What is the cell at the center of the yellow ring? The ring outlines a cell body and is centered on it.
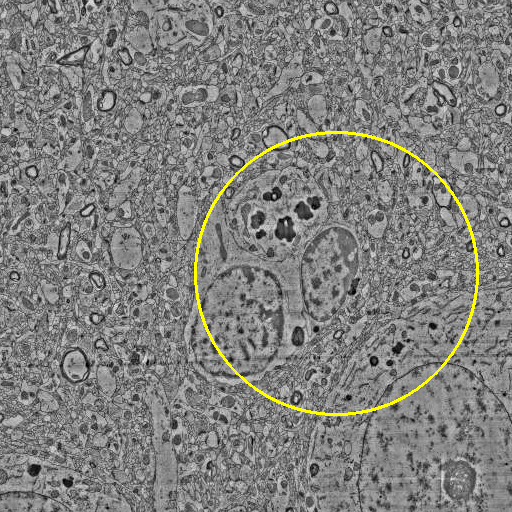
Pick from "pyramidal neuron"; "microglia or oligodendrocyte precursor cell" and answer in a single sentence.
The yellow ring is centered on a microglial cell or oligodendrocyte precursor cell.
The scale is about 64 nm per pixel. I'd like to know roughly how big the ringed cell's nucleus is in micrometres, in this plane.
About 6 micrometres by about 4 micrometres in this plane.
